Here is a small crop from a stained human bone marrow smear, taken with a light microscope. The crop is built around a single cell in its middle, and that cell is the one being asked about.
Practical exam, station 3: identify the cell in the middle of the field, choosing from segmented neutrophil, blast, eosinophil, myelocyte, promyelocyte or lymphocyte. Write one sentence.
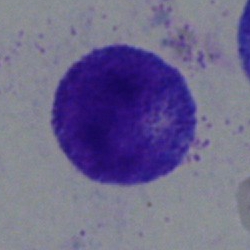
For this crop, the central cell is a promyelocyte.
